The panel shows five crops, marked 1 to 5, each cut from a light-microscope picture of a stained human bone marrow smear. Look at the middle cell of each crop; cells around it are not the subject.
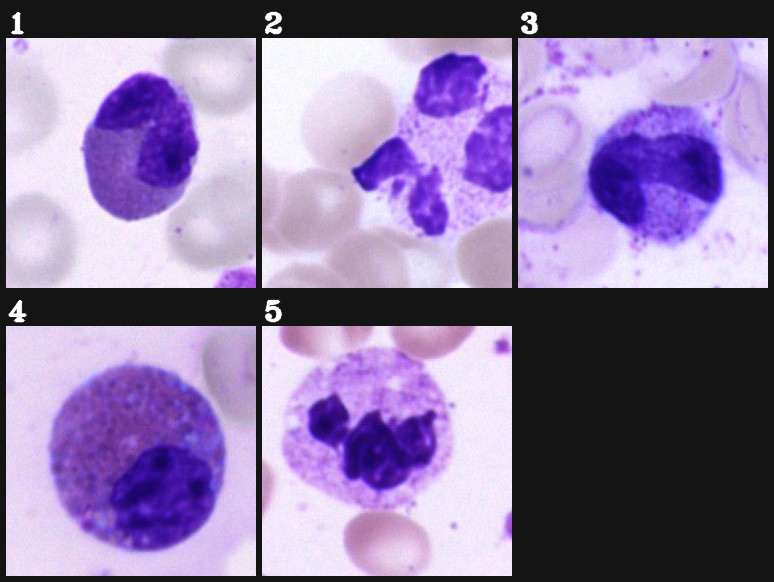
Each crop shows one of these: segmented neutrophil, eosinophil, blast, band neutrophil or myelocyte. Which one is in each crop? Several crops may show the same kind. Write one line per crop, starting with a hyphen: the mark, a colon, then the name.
- 1: eosinophil
- 2: segmented neutrophil
- 3: band neutrophil
- 4: eosinophil
- 5: segmented neutrophil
